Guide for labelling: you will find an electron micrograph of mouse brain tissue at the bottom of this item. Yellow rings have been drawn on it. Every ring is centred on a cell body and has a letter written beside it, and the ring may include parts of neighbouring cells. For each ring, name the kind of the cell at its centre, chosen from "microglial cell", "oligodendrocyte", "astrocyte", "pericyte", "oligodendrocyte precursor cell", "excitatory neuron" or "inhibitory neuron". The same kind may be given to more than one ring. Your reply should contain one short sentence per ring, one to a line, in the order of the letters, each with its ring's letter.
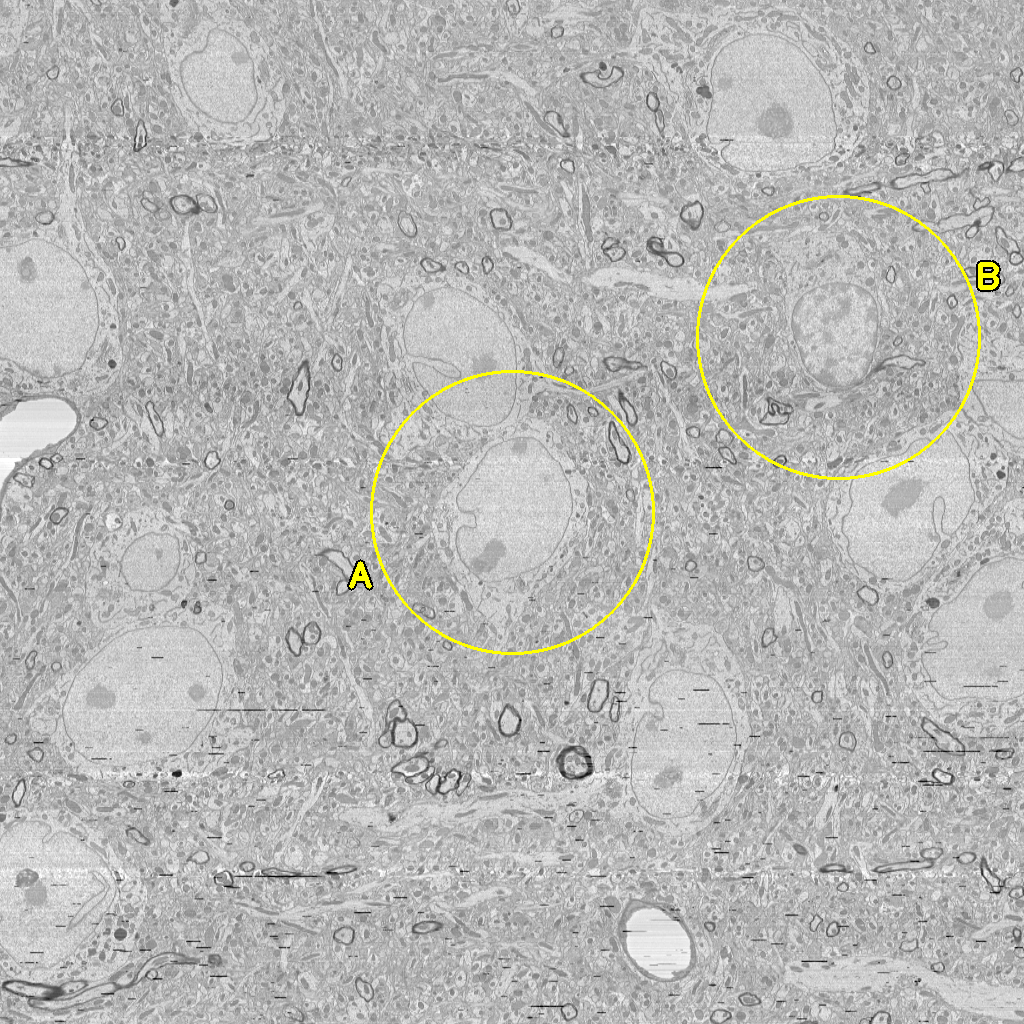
Ring A is centred on the body of an excitatory neuron.
Ring B is centred on the body of an oligodendrocyte.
